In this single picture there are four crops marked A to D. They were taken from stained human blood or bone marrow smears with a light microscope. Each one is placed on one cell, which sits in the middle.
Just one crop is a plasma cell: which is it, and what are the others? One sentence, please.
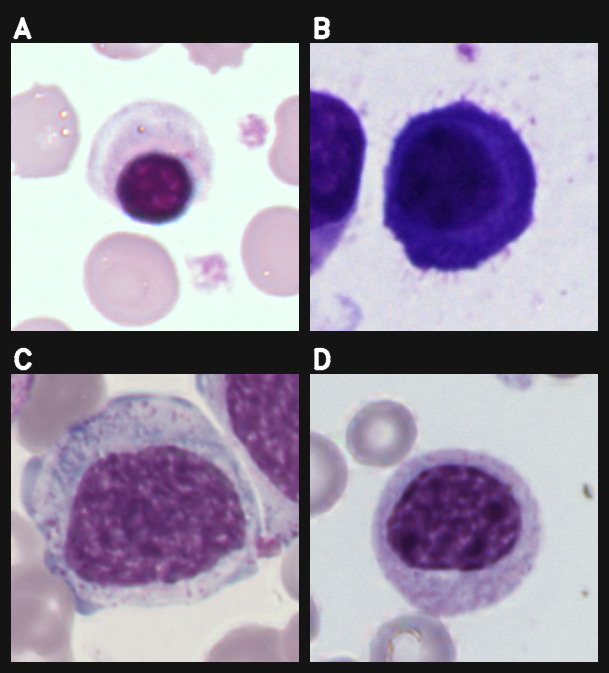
Crop B should be logged as a plasma cell, while crop A is a normoblast, crop C is a promyelocyte and crop D is a myelocyte.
